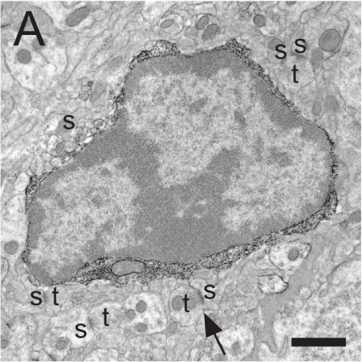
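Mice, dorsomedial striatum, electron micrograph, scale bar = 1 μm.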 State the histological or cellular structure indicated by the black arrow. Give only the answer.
Excitatory synaptic clefts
